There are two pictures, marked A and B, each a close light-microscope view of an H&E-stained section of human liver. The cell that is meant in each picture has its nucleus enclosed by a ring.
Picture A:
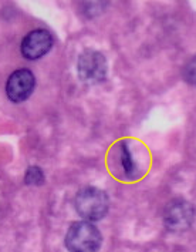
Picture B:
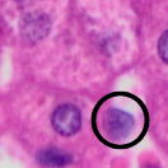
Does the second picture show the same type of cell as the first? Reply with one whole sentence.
Yes, they are the same type: both are endothelial cells.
